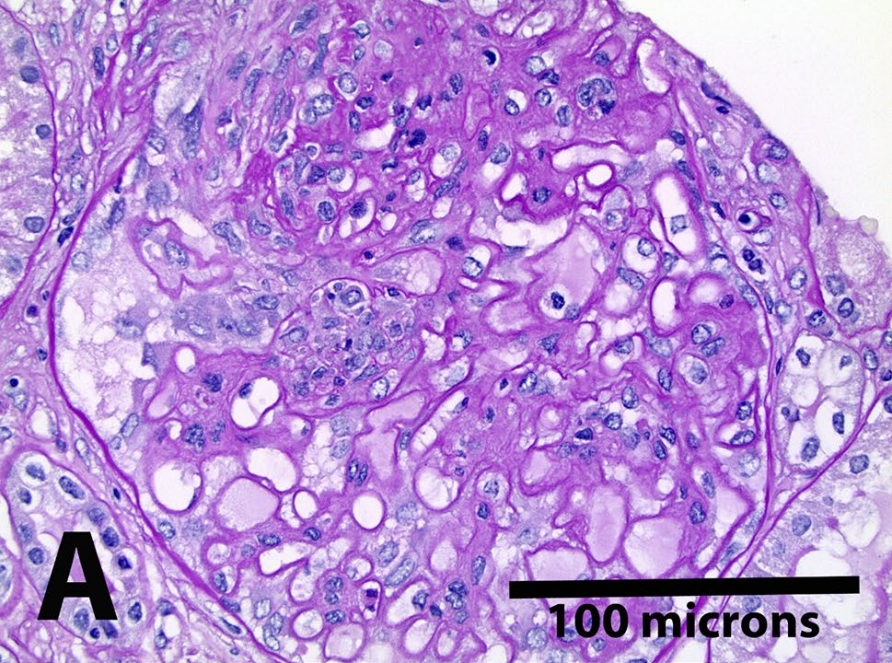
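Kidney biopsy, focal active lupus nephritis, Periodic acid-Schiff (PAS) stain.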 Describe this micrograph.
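A glomerulus fills most of the view, enclosed by a thin magenta capsule and surrounded by tubules. Its tuft shows magenta-outlined capillary loops, many of them dilated and clear, with areas where the cells are more crowded. Dark blue nuclei are scattered through the tuft, and pale vacuolated tubular cells lie outside the capsule.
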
